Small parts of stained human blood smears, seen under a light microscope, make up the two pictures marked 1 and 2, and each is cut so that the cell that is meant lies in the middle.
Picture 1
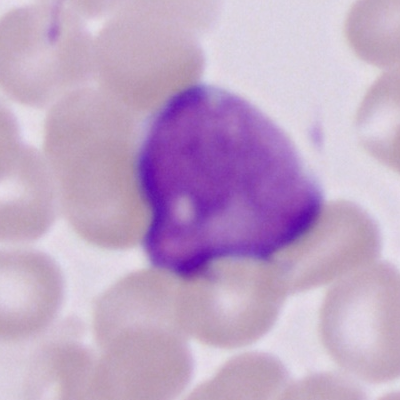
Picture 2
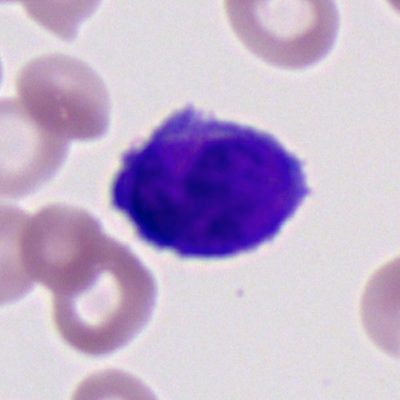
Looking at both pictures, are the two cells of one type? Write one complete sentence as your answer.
Yes, both are myeloblasts.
